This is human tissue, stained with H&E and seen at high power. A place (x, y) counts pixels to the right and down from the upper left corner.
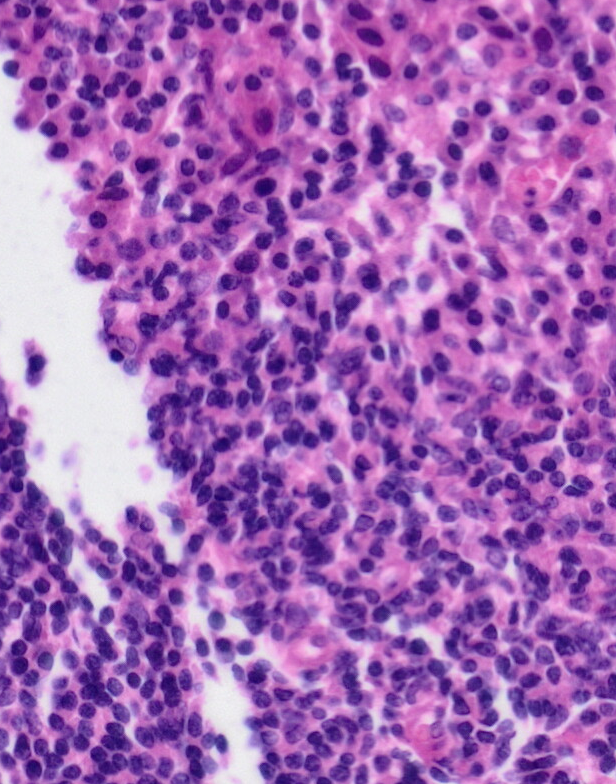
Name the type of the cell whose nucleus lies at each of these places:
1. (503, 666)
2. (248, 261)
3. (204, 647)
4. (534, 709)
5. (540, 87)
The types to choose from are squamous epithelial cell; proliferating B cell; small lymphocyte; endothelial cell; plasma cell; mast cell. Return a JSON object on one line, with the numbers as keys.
{"1": "small lymphocyte", "2": "plasma cell", "3": "small lymphocyte", "4": "small lymphocyte", "5": "plasma cell"}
